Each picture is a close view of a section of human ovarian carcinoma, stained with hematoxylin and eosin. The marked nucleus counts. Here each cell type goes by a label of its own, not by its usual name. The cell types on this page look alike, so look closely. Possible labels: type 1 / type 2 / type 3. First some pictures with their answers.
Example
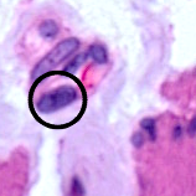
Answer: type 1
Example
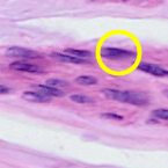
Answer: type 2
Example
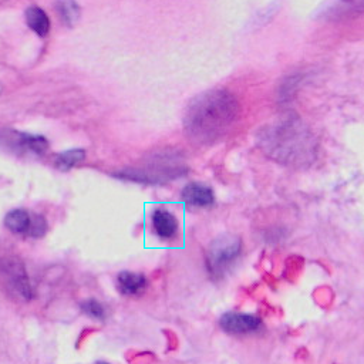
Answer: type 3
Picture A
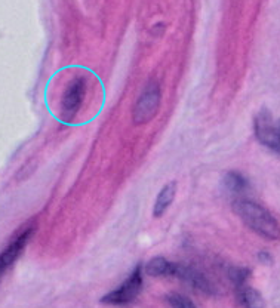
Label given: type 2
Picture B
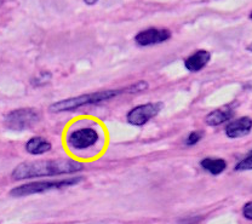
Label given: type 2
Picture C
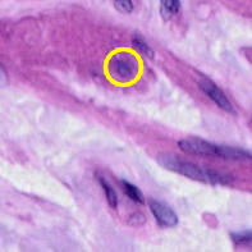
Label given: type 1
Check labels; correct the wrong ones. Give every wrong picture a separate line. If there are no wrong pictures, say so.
B is labelled type 2; correct label: type 3
C is labelled type 1; correct label: type 2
